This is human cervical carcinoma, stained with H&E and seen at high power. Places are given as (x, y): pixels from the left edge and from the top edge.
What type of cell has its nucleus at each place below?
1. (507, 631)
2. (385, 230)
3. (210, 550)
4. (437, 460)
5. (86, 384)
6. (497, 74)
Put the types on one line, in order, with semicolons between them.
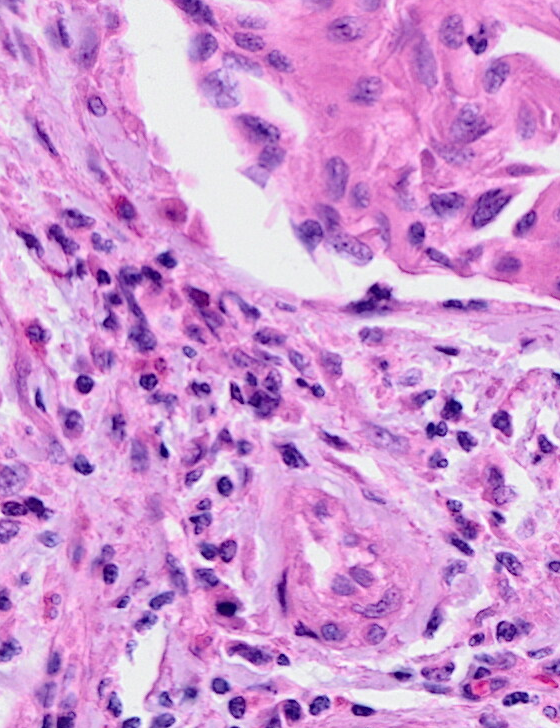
lymphocyte; squamous carcinoma cell; lymphocyte; lymphocyte; lymphocyte; squamous carcinoma cell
